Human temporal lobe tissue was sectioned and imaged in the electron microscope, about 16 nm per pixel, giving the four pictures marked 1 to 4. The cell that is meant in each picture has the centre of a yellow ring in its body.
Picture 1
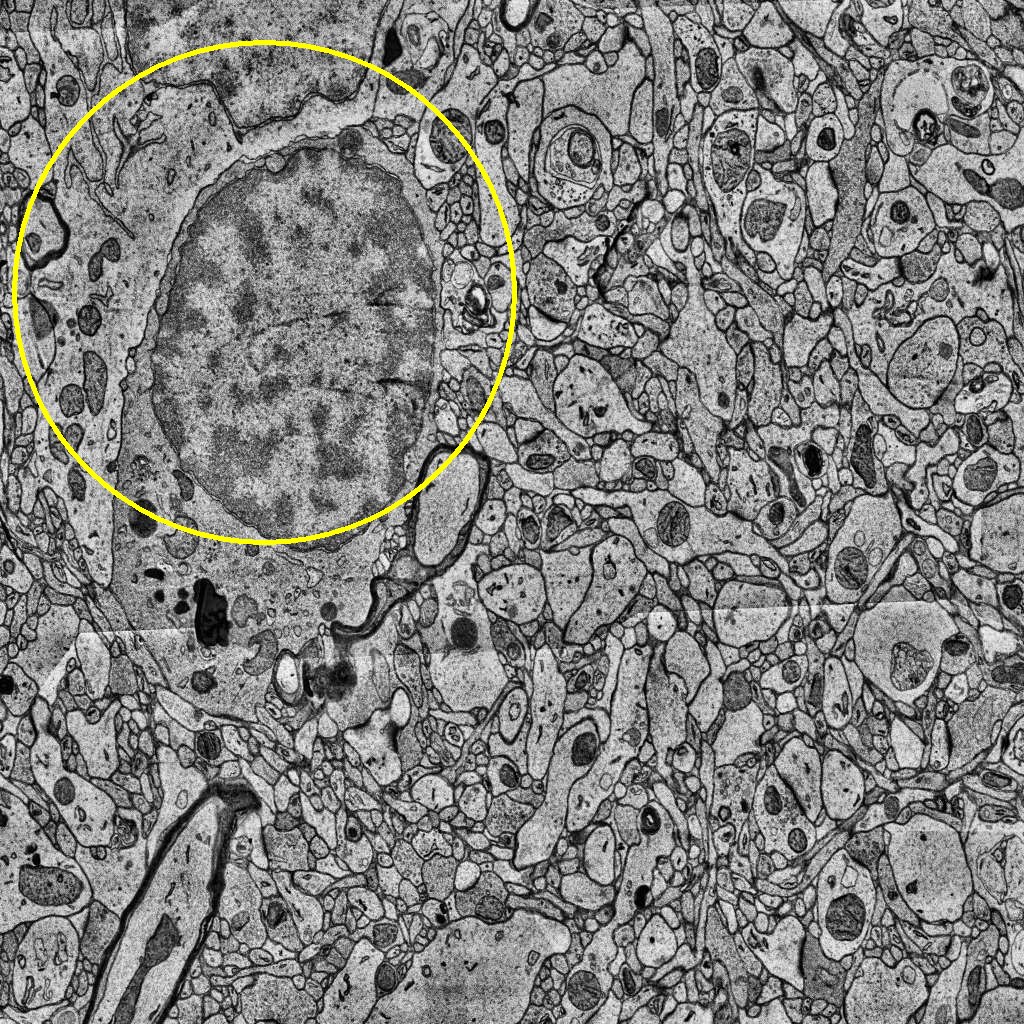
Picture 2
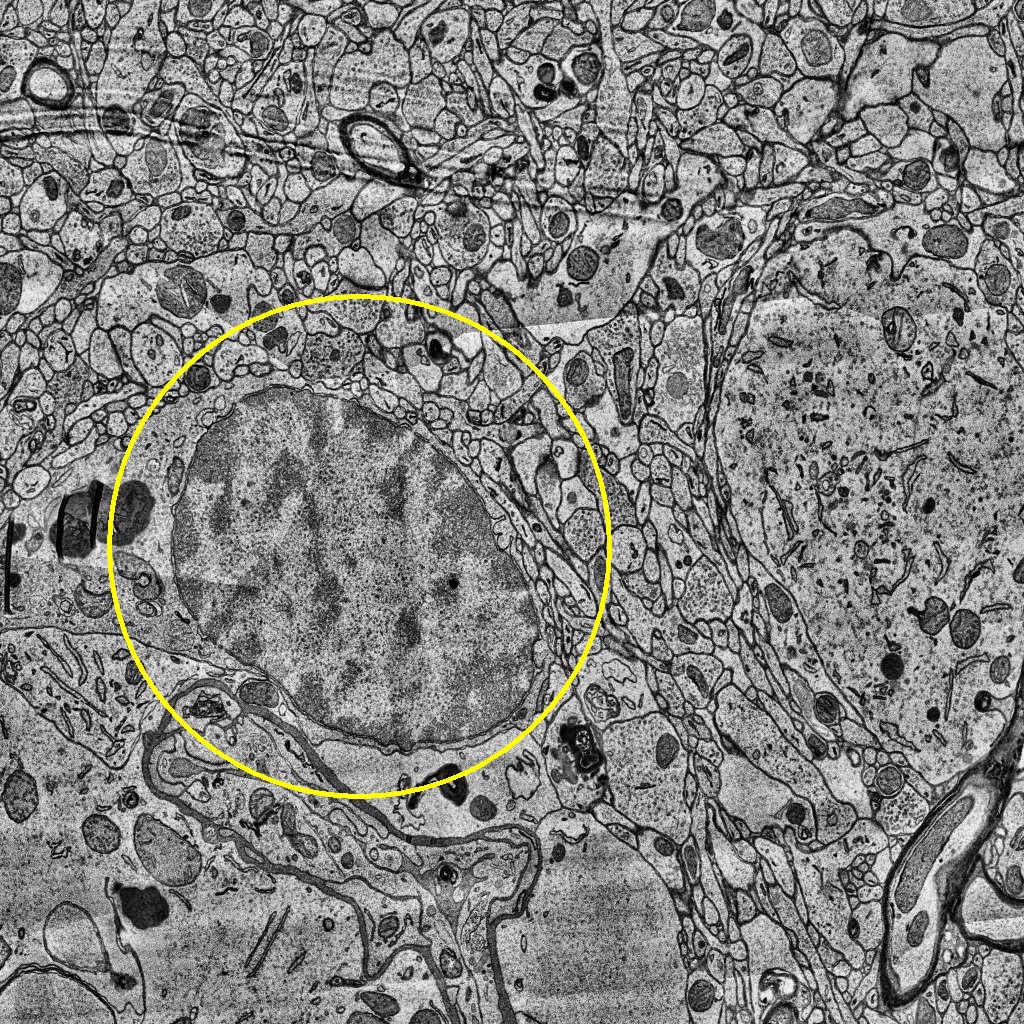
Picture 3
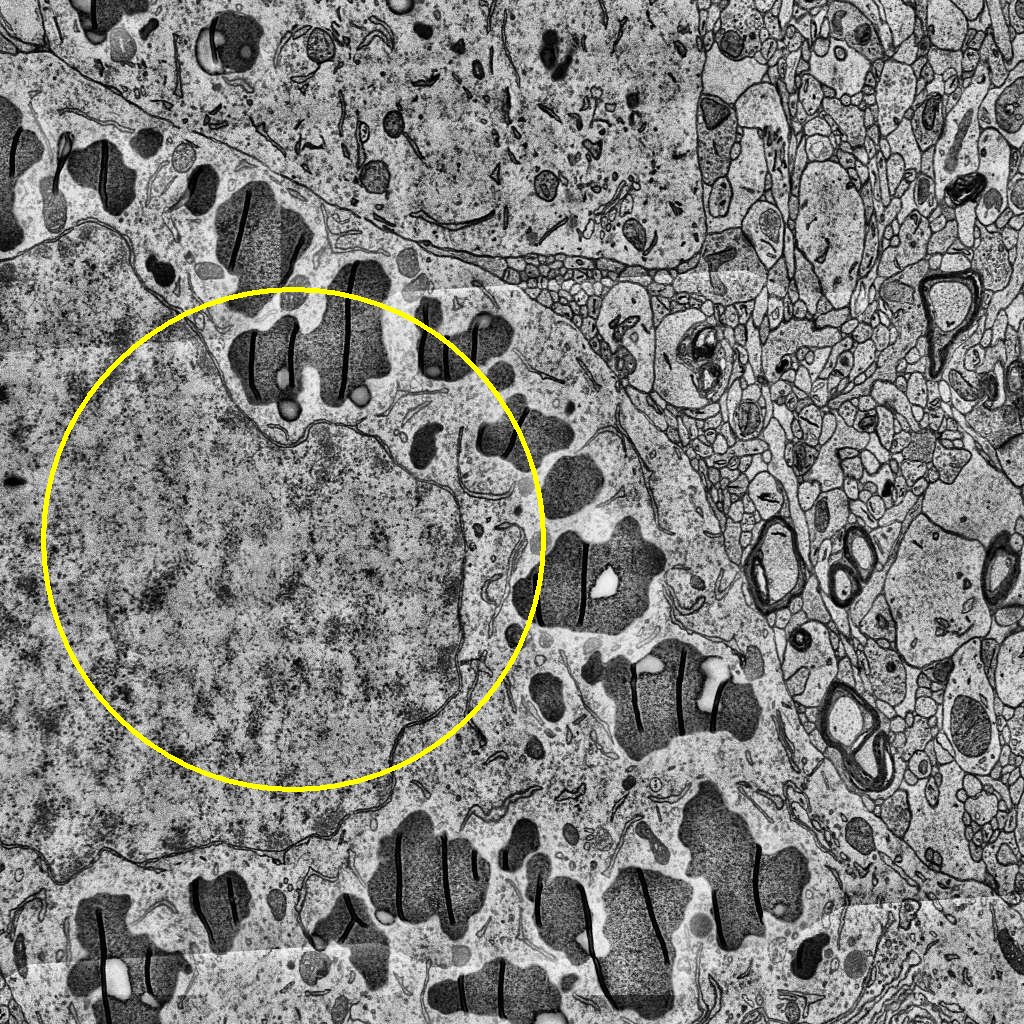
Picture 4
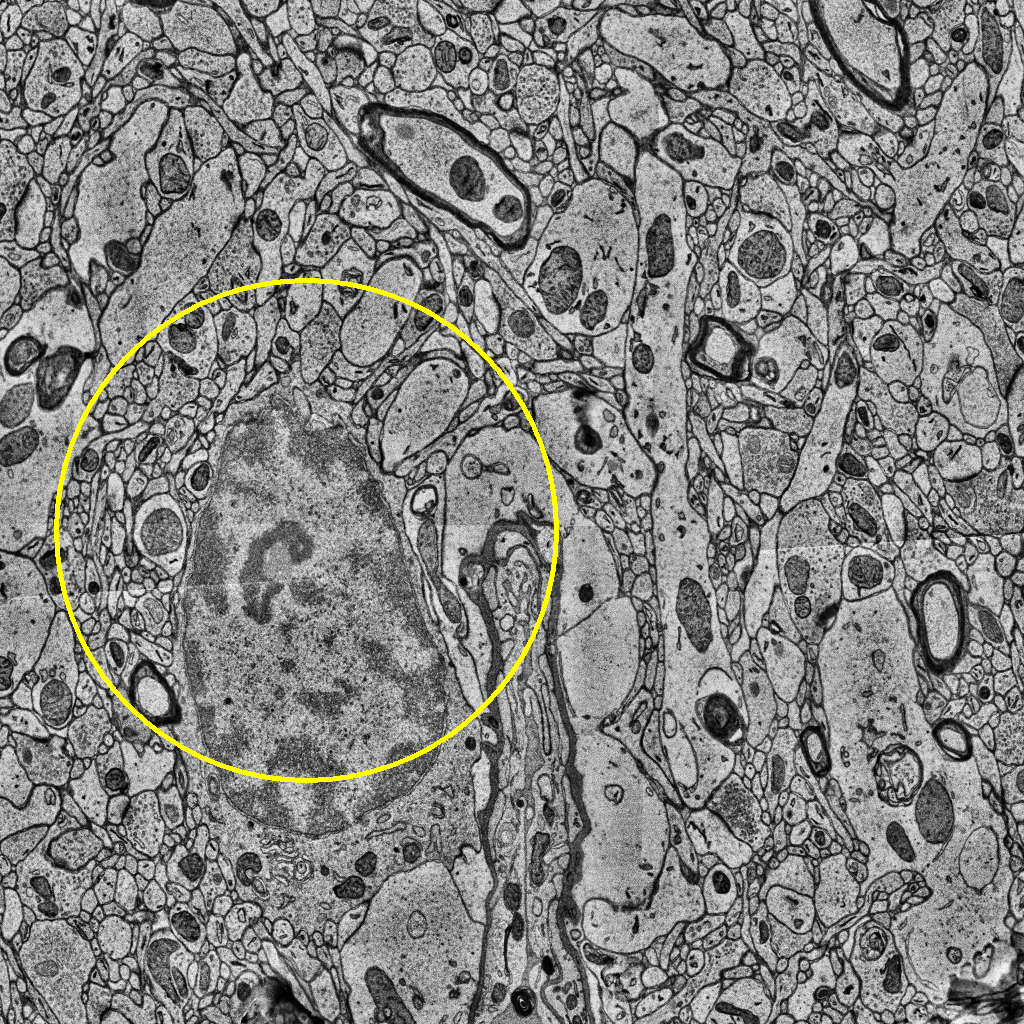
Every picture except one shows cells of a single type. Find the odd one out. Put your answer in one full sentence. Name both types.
Picture 3 is the odd one out: it shows an interneuron, while the others show oligodendrocytes.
